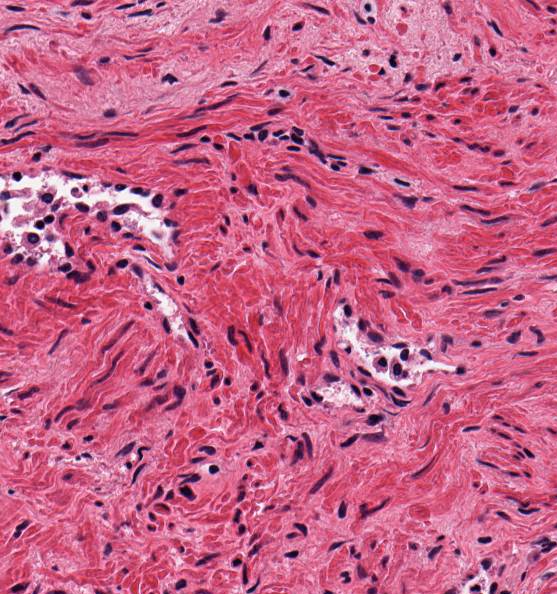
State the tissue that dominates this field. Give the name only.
fibromuscular stroma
